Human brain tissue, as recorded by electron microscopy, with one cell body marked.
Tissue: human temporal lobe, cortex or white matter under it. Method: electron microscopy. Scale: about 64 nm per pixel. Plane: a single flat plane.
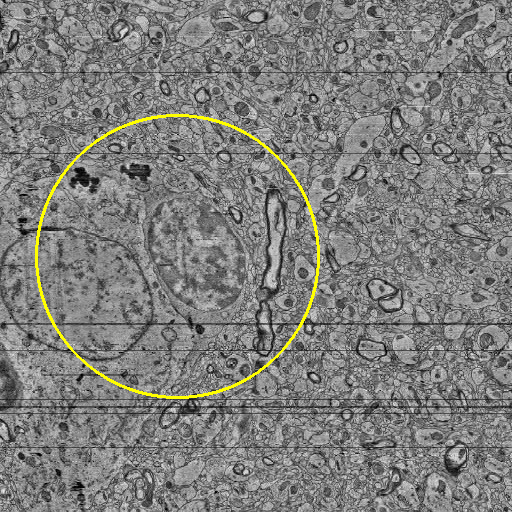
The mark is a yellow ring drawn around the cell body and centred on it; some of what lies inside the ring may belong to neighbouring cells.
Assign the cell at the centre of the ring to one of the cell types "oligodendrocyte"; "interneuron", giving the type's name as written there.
oligodendrocyte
